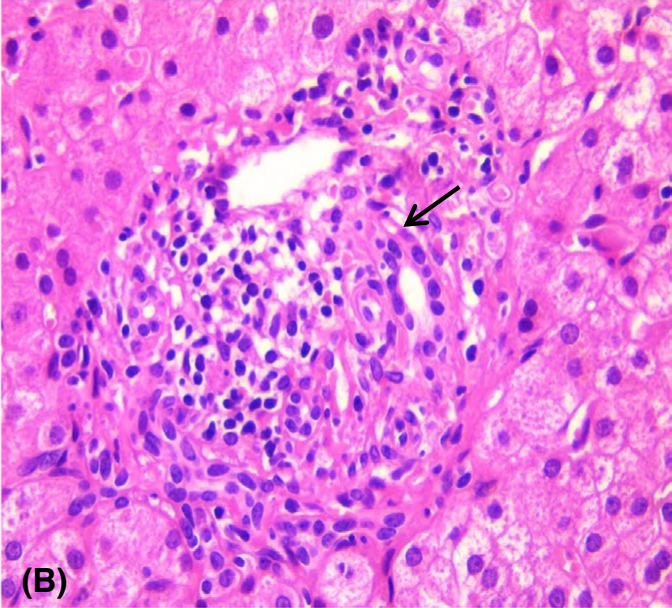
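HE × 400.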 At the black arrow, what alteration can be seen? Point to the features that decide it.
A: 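The arrow points to a small duct lined by cuboidal epithelial cells. That points to this answer: lymphocytic cholangitis.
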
